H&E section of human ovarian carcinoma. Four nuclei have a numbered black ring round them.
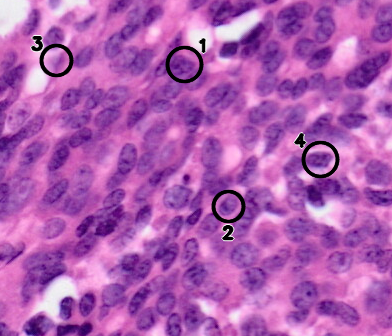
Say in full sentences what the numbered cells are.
Cell 1 is a carcinoma cell, cell 2 is a macrophage or monocyte, cell 3 is a carcinoma cell and cell 4 is a carcinoma cell.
